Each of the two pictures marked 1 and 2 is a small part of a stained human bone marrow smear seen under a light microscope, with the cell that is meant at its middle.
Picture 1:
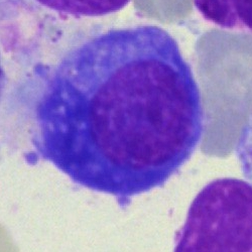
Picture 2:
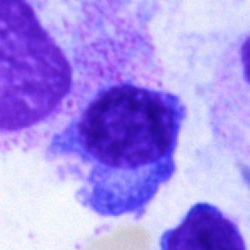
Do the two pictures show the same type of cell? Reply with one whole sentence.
Yes, they are the same type: both are plasma cells.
